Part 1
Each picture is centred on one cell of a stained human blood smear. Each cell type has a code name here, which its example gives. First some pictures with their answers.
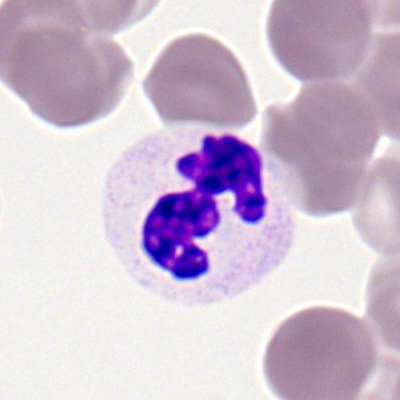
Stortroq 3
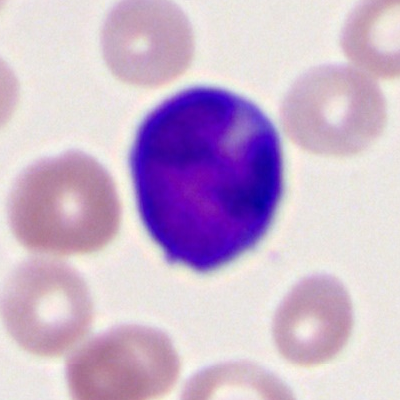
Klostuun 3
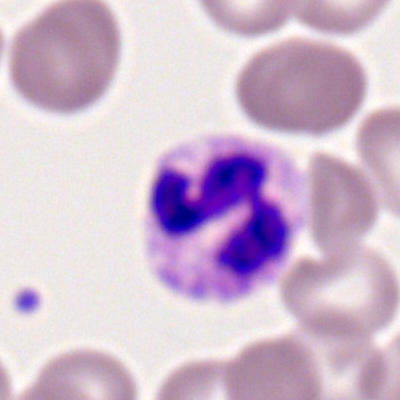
Stortroq 3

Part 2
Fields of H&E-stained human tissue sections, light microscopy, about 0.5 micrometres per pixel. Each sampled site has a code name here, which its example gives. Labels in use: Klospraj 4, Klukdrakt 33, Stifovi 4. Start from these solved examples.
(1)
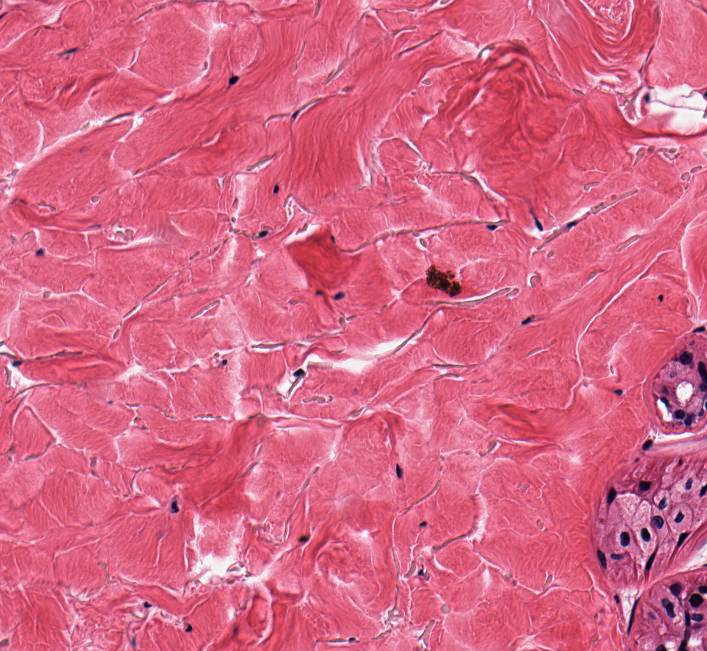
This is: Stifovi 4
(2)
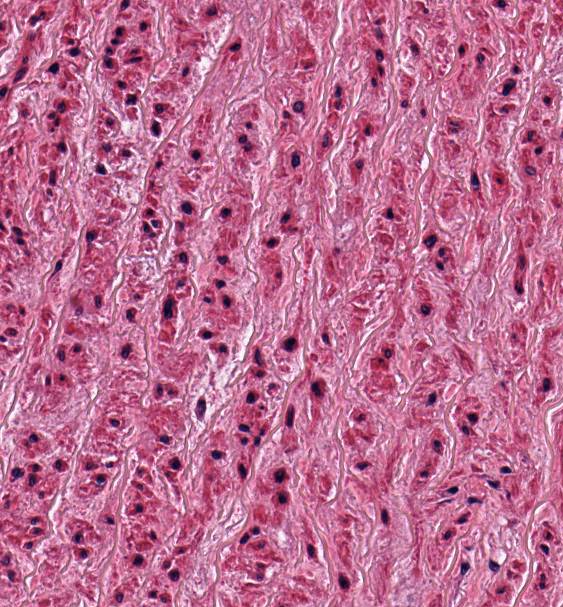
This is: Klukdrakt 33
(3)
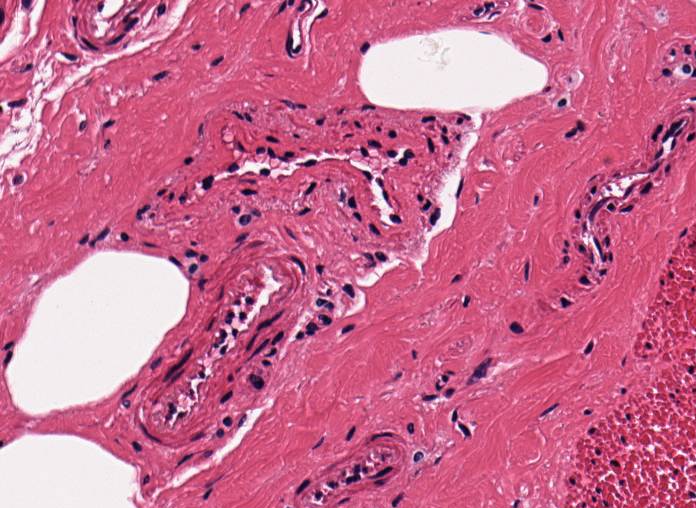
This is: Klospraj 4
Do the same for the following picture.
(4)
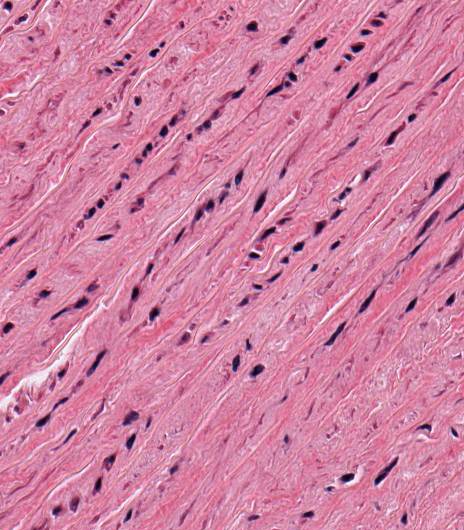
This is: Klukdrakt 33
